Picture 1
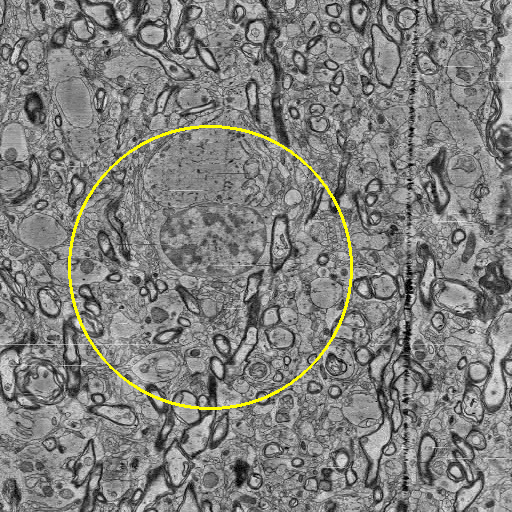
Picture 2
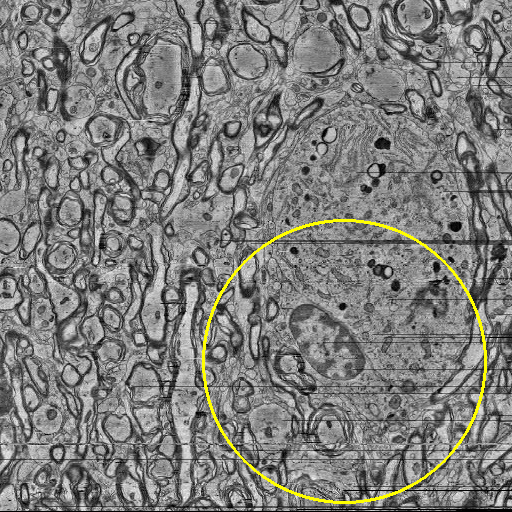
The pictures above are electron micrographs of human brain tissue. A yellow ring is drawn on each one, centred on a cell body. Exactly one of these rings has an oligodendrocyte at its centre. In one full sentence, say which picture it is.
Picture 1 has it at the centre of its ring.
